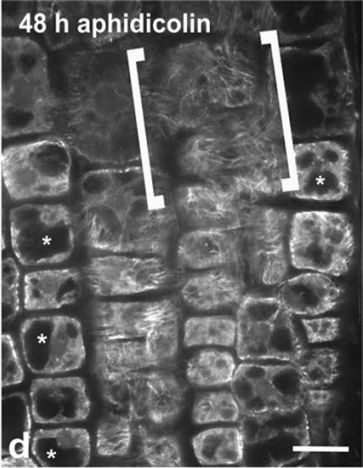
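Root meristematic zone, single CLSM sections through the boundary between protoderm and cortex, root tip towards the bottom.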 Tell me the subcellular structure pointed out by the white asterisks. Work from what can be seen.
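The asterisks sit on large dark, unlabelled spaces within cells. Labelled cytoplasm forms strands and a thin rim around these spaces.
Conclusion: vacuoles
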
